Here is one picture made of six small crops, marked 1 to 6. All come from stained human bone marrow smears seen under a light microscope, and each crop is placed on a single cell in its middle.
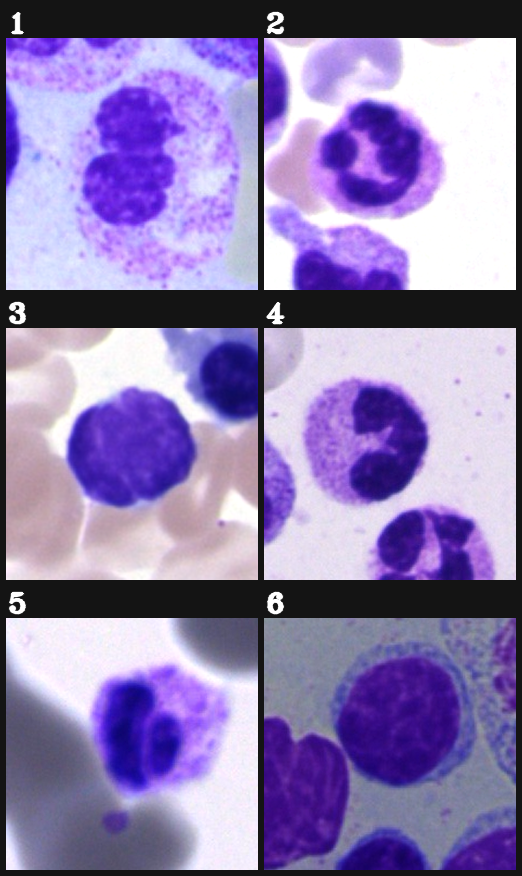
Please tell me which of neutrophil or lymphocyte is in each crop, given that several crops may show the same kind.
1: neutrophil
2: neutrophil
3: lymphocyte
4: neutrophil
5: neutrophil
6: lymphocyte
